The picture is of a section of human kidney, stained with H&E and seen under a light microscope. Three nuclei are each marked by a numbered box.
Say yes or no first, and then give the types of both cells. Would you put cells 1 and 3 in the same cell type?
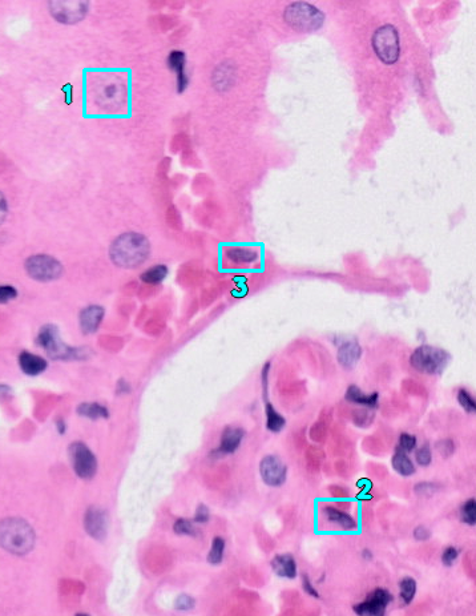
No, listen: cell 1 is a proximal tubule cell and cell 3 is an endothelial cell.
